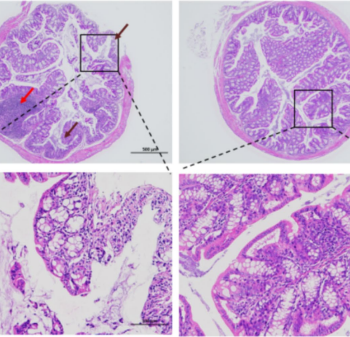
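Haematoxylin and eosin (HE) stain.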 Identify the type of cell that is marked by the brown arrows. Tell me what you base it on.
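Goblet cells. The brown arrows point into the glandular mucosa of the colon cross-section. The enlarged view shows crypts with pale, clear vacuolated cells.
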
